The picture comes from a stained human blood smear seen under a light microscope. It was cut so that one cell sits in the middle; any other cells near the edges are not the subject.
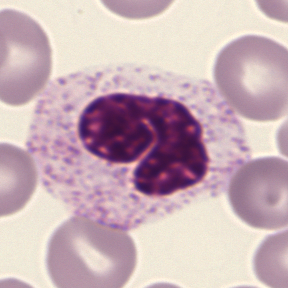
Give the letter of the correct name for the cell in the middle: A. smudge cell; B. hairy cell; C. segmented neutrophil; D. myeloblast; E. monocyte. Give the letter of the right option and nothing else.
C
